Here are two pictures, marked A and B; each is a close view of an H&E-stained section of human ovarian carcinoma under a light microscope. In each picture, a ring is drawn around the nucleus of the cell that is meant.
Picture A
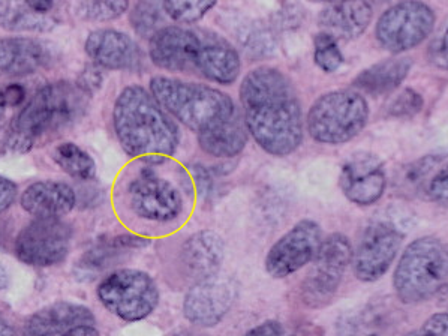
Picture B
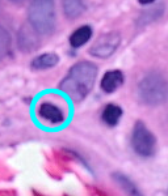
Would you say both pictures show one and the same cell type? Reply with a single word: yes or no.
no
